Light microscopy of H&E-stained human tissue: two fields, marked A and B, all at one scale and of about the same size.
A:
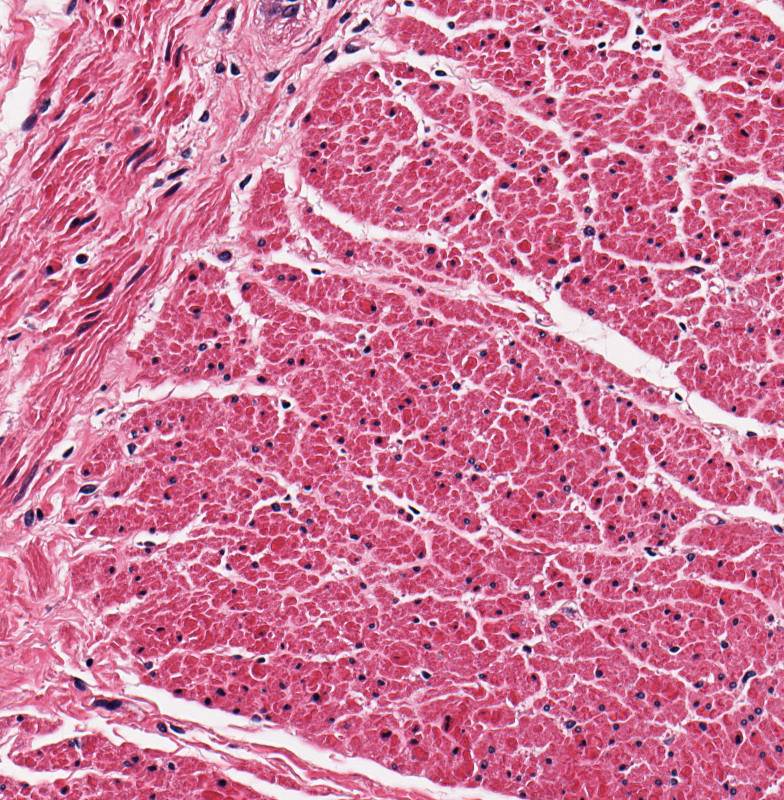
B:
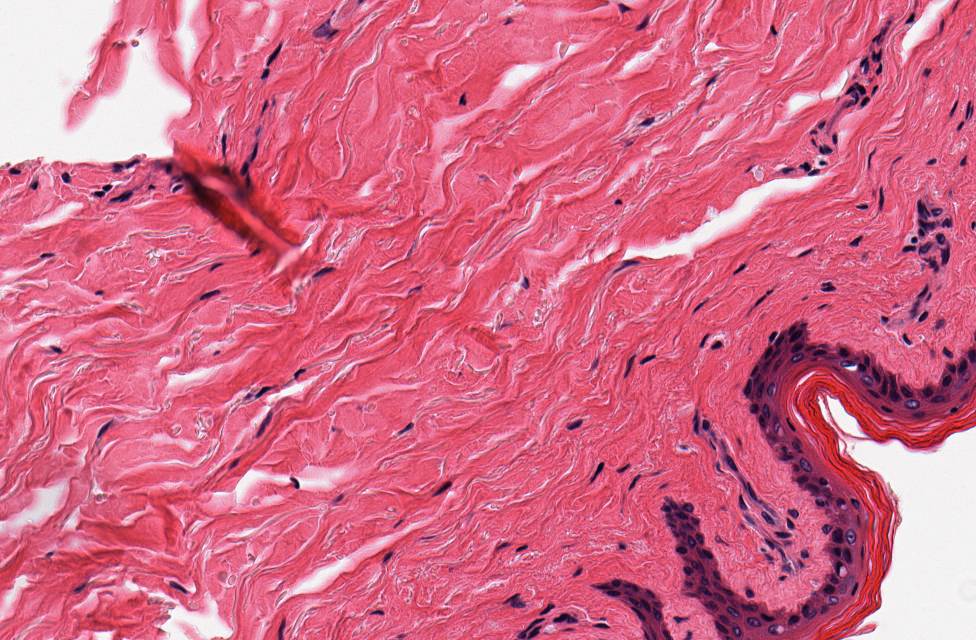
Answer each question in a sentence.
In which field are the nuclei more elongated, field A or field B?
It is field B whose nuclei are the more elongated.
